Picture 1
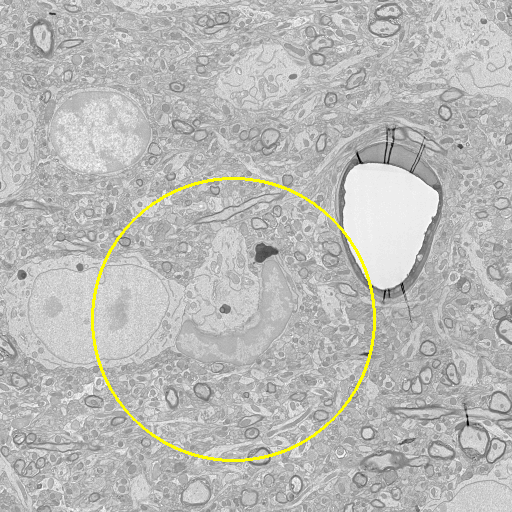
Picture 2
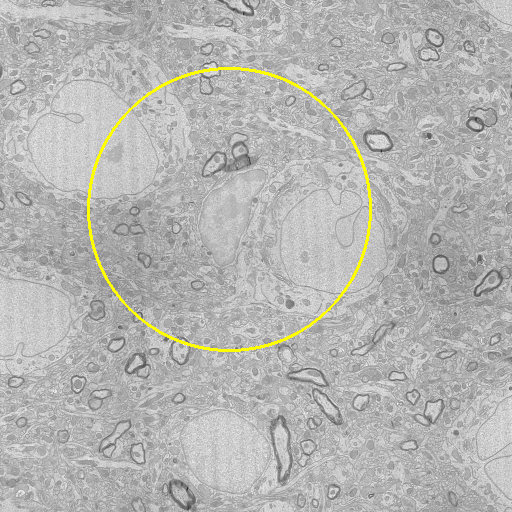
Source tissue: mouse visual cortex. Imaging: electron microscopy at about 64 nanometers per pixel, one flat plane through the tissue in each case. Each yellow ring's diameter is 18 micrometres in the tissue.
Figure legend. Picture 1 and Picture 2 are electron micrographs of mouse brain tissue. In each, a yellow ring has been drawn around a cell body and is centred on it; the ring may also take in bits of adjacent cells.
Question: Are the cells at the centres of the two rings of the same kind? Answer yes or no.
yes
